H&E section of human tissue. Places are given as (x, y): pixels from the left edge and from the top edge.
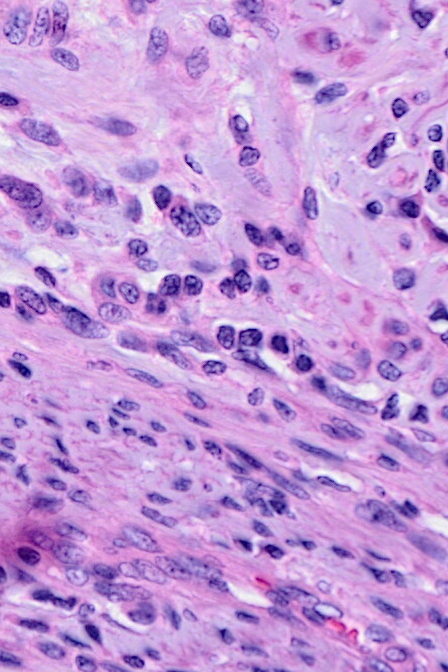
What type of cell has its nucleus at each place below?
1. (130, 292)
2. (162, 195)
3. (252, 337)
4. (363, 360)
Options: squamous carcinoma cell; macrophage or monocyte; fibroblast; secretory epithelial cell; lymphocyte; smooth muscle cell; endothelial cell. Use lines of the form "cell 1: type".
cell 1: endothelial cell
cell 2: lymphocyte
cell 3: lymphocyte
cell 4: smooth muscle cell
